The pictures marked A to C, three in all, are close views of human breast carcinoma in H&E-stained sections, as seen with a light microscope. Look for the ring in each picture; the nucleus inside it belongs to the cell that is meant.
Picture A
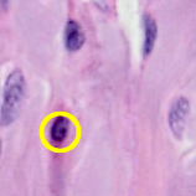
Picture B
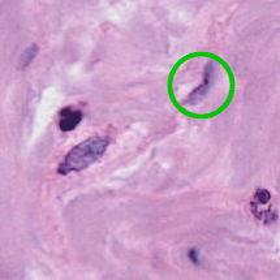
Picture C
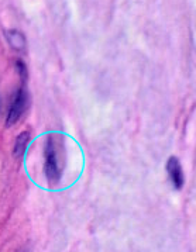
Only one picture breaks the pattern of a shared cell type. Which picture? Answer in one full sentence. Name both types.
Picture A is the odd one out: it shows a mast cell, while the others show fibroblasts.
